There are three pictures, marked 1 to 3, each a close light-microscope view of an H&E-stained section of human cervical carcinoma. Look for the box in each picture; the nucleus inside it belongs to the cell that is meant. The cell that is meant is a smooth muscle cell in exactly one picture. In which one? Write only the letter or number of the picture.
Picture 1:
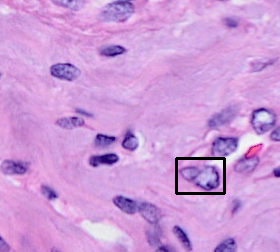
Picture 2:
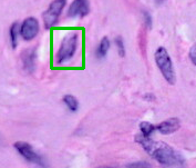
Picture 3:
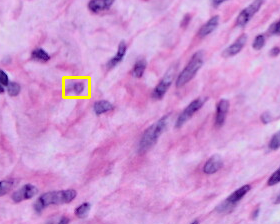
3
